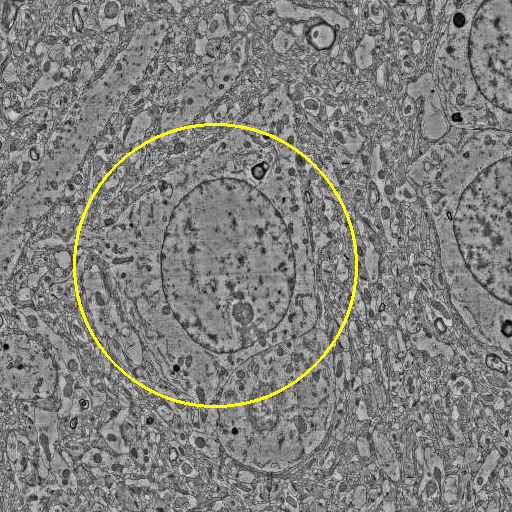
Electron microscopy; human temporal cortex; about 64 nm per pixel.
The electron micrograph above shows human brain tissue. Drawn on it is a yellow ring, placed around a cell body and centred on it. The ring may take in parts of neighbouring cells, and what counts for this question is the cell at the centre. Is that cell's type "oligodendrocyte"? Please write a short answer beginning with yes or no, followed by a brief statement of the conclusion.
No, its type is another one.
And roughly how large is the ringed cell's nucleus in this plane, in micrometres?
In this plane, the nucleus is roughly 11 by 9 micrometres.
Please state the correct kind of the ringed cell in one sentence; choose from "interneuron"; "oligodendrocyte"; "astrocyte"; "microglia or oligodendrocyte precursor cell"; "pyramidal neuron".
The cell at the ring centre is a pyramidal neuron.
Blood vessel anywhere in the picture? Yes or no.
No, no blood vessel shows in the picture.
